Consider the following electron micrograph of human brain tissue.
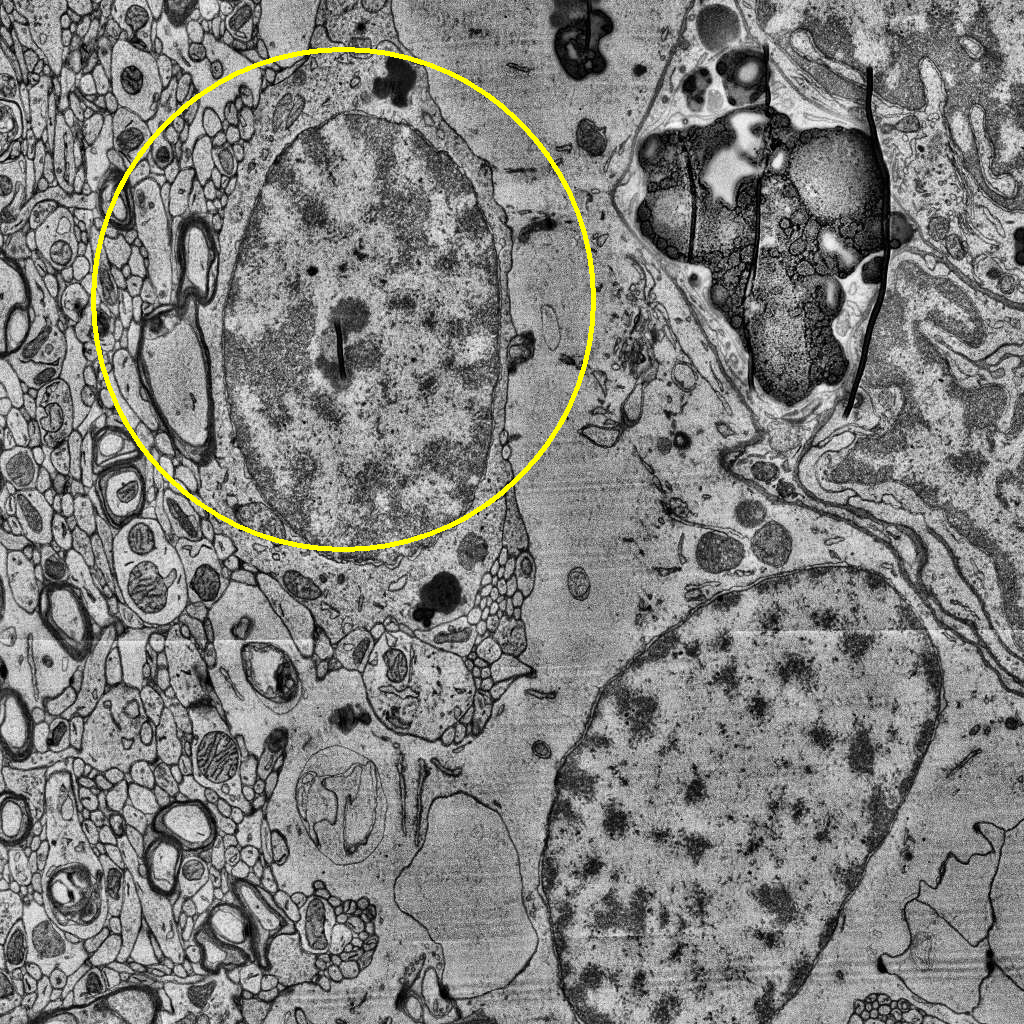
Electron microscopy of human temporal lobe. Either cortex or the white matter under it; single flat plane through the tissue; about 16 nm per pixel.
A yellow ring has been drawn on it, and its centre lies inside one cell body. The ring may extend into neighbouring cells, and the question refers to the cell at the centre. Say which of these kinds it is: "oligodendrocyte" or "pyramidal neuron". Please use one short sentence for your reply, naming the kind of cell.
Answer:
The centre of the ring falls on an oligodendrocyte.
